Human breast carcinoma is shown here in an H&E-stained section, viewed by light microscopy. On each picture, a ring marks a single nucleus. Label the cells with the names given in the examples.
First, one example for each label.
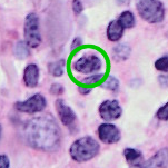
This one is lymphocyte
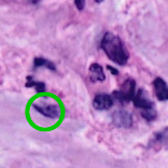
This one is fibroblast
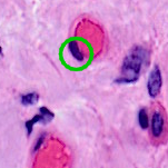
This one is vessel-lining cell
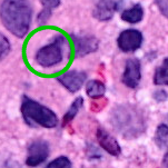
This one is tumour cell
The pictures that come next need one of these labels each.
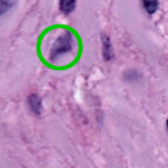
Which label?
fibroblast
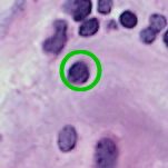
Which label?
lymphocyte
